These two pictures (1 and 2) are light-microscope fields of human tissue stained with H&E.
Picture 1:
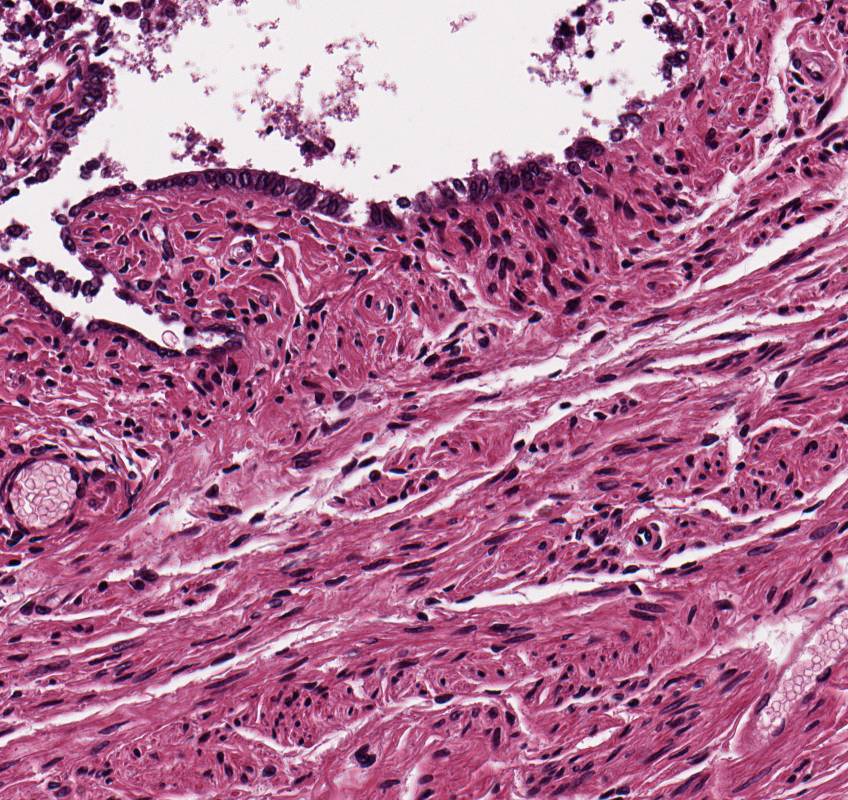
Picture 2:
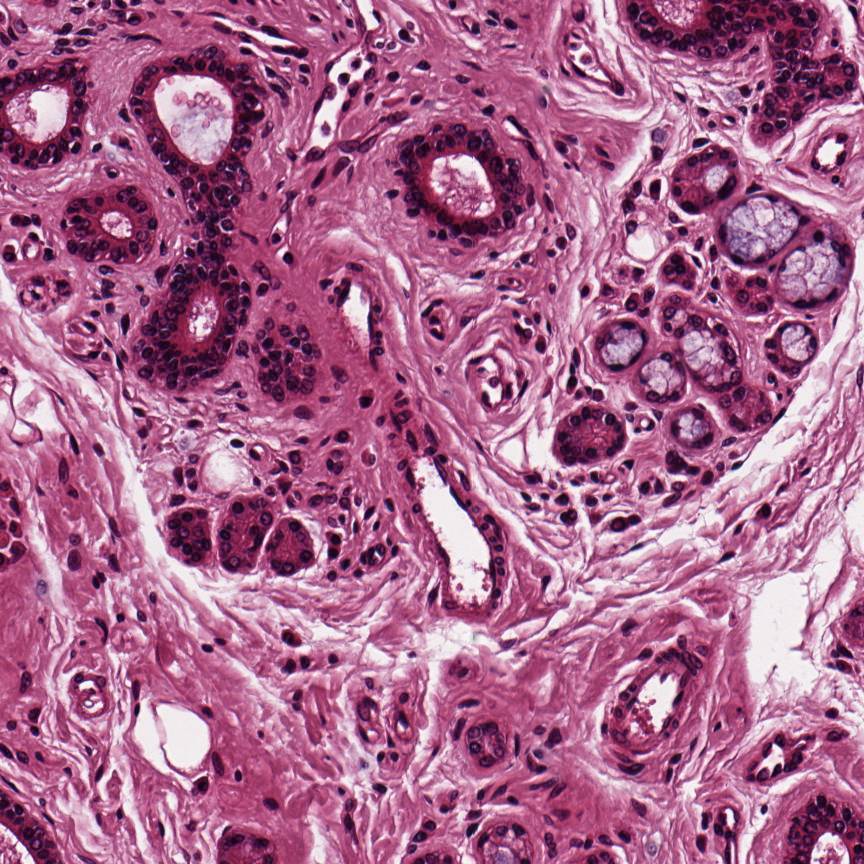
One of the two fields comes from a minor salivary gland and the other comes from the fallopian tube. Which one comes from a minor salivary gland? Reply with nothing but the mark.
2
